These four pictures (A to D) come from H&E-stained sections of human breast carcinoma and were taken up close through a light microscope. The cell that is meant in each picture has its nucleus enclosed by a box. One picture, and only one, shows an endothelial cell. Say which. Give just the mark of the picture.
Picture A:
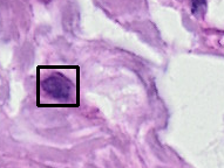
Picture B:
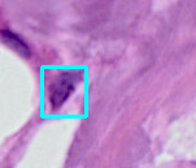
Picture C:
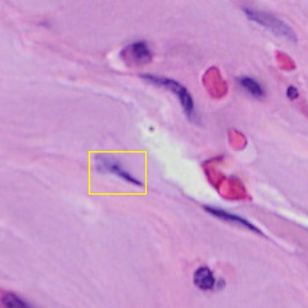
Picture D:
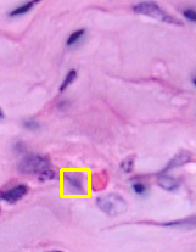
D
